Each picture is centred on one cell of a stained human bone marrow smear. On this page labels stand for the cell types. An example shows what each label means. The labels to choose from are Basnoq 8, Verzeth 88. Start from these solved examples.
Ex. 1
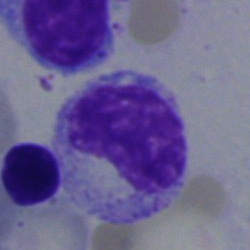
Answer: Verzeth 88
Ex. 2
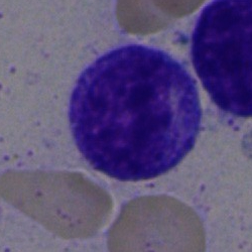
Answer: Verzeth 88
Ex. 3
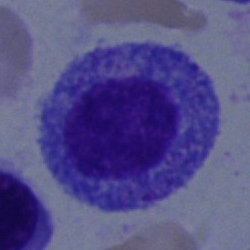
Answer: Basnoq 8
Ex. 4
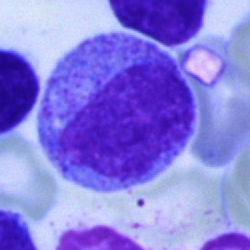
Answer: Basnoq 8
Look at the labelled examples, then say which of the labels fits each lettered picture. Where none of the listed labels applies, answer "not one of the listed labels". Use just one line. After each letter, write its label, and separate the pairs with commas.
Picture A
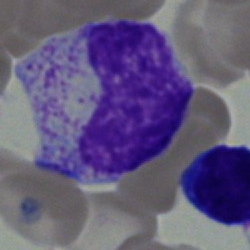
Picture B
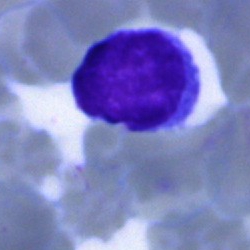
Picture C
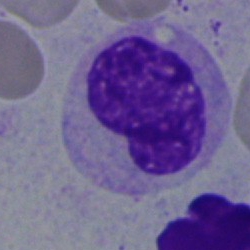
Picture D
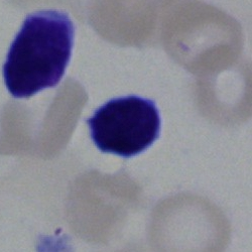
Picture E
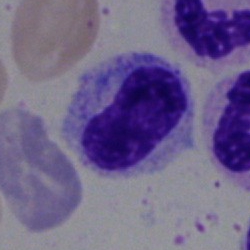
A Verzeth 88, B not one of the listed labels, C Verzeth 88, D not one of the listed labels, E Verzeth 88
